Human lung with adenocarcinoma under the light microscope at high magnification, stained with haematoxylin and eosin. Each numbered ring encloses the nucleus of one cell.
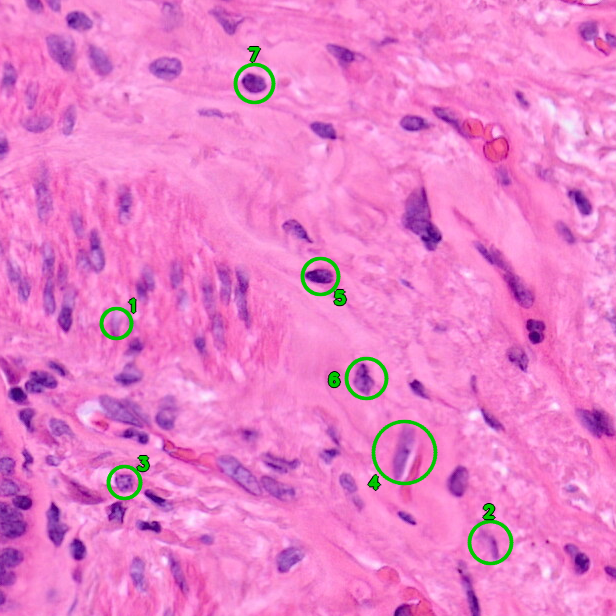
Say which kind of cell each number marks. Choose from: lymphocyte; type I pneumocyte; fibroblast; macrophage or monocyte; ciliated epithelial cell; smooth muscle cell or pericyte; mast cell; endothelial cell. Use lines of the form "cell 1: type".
cell 1: smooth muscle cell or pericyte
cell 2: fibroblast
cell 3: mast cell
cell 4: endothelial cell
cell 5: mast cell
cell 6: fibroblast
cell 7: lymphocyte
